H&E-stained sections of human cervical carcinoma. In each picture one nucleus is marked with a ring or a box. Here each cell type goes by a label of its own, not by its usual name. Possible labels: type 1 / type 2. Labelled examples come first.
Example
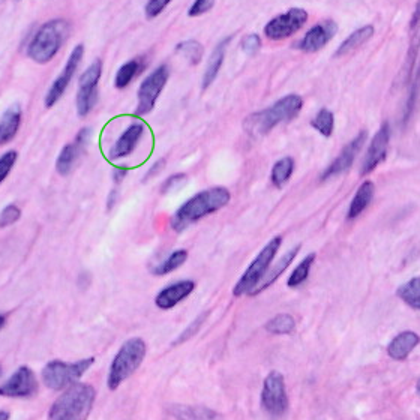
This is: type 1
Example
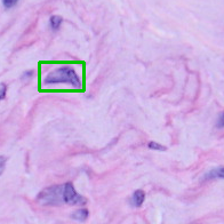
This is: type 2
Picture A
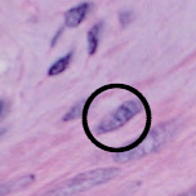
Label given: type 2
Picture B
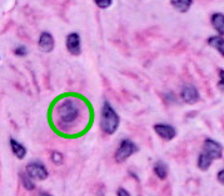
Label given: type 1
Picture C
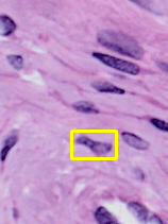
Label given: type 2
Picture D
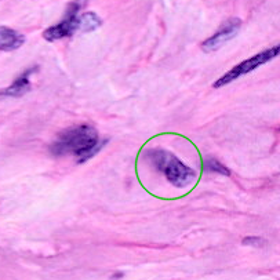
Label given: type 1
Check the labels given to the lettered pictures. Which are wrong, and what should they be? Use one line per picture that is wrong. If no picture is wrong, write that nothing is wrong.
B: type 2, not type 1
C: type 1, not type 2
